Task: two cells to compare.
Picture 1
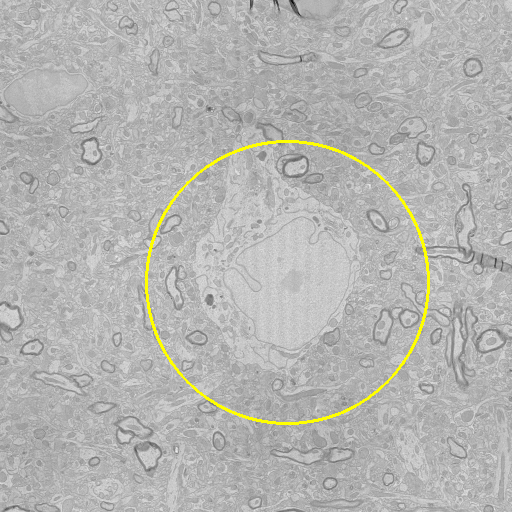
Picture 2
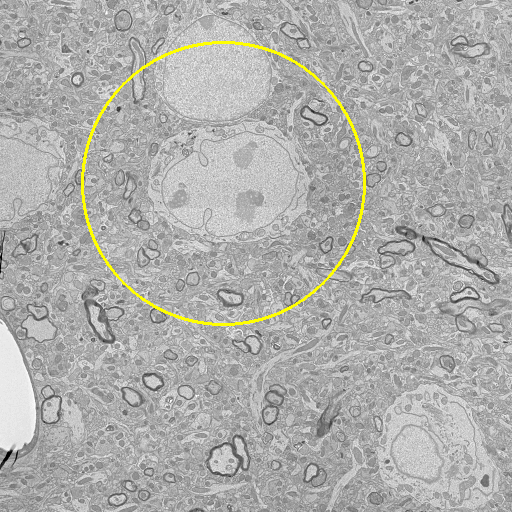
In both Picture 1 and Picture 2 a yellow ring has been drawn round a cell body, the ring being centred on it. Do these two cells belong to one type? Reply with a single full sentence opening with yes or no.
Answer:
Yes, the two cells at the ring centres in Picture 1 and Picture 2 share one type.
